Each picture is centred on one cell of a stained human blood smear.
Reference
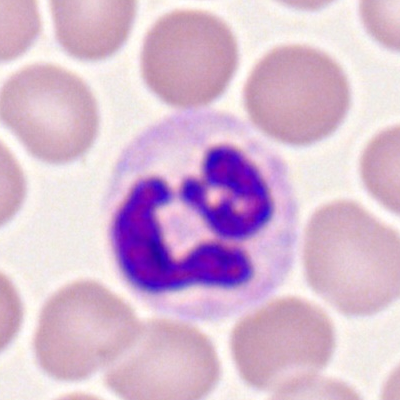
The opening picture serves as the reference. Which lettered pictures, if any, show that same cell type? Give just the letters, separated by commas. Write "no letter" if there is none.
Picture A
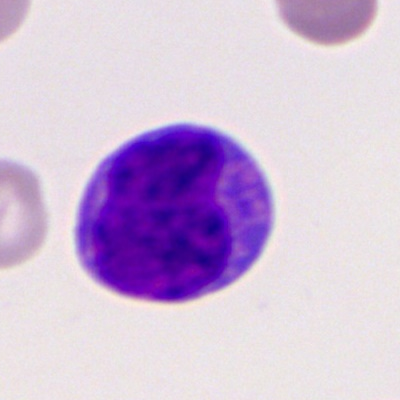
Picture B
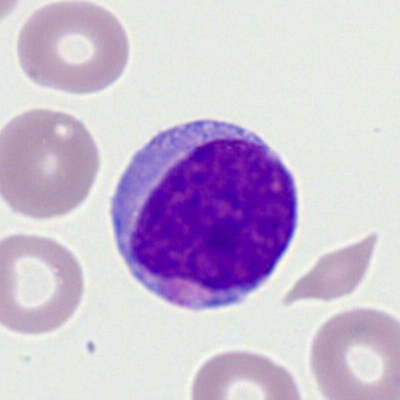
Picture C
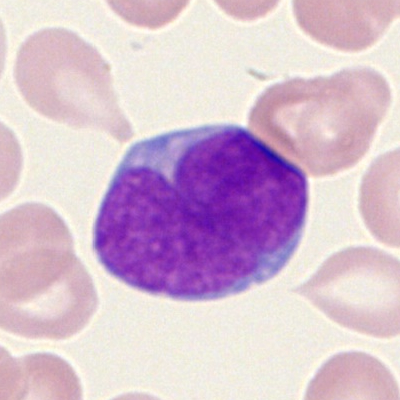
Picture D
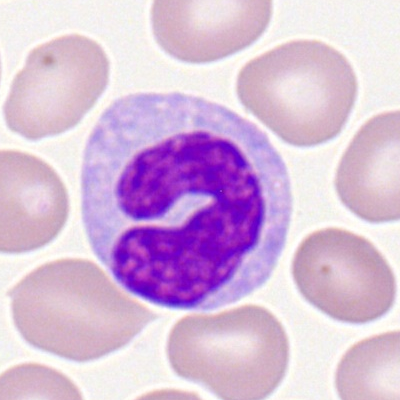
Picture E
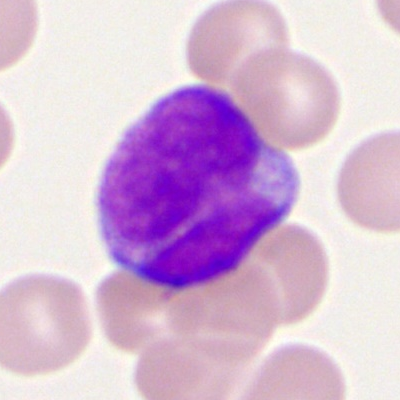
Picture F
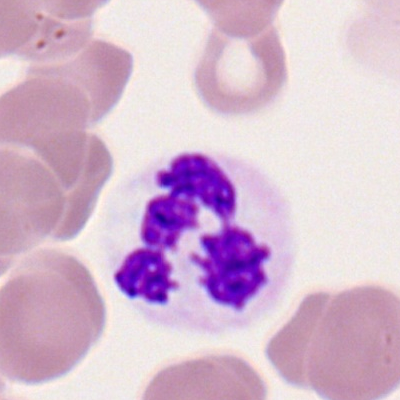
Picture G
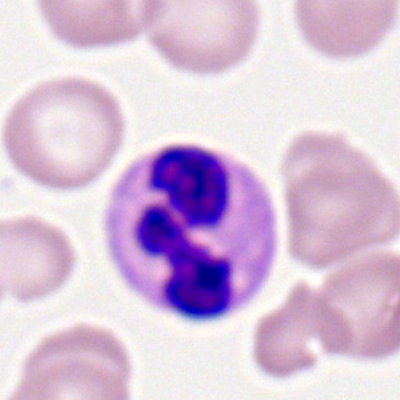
F, G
